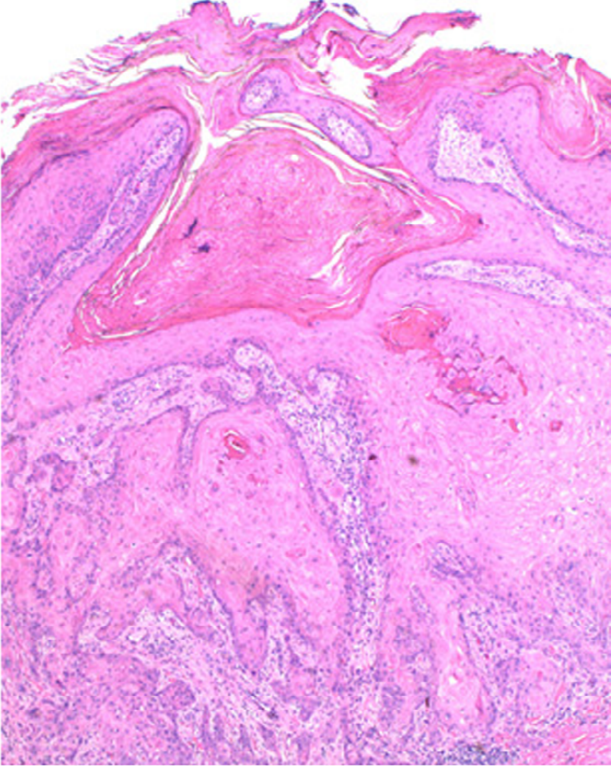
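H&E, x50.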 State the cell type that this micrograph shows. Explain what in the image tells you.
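Large pale pink squamous cells with abundant glassy cytoplasm fill the epithelial lobules. The cells are much larger than the basal cells at the lobule edges.
Answer: enlarged glassy keratinocytes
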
